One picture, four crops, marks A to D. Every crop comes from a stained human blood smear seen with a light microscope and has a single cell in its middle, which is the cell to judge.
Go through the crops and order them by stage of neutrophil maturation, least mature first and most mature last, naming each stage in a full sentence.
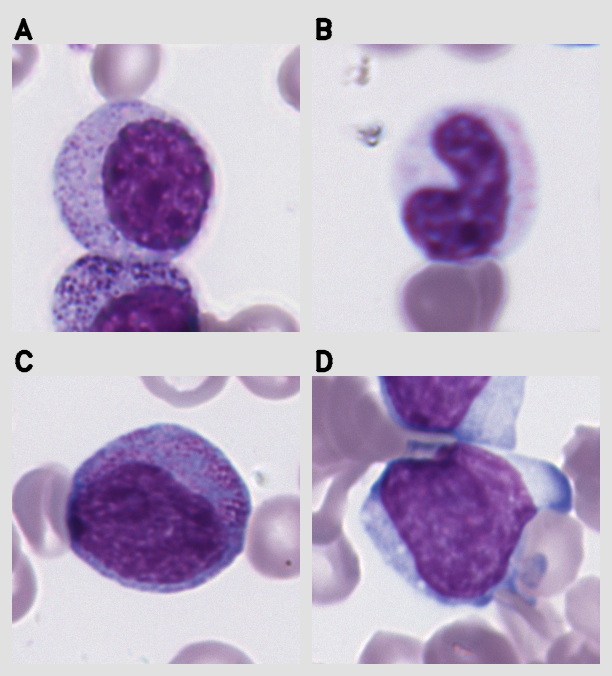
The order from least to most mature is crop D (a blast), crop C (a promyelocyte), crop A (a myelocyte) and crop B (a band neutrophil).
